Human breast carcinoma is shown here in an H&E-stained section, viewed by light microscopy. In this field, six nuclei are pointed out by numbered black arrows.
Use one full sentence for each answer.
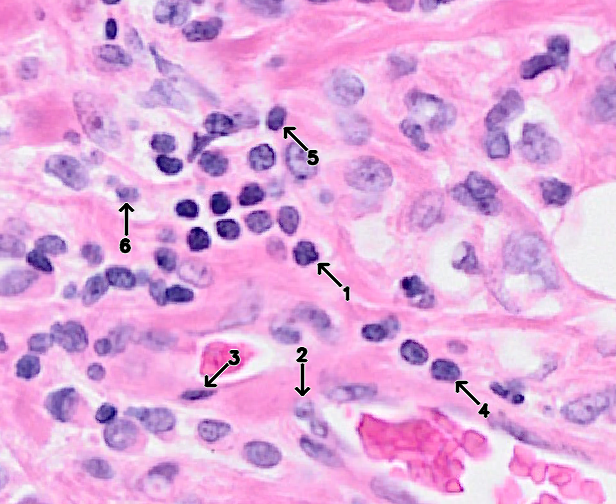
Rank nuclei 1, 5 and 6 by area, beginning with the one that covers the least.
From smallest to largest, the order is 6, 5, 1.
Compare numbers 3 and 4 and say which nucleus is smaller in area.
With nucleus 4 about 1.5 times its size, nucleus 3 is the smaller of the two.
